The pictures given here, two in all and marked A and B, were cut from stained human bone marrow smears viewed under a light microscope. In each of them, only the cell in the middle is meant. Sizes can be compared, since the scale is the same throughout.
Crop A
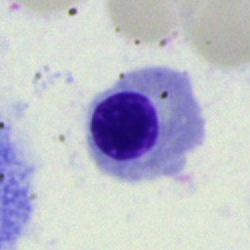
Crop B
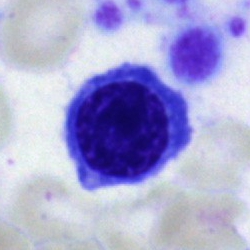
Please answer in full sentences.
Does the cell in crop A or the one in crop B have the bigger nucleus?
Larger is the nucleus in crop B, at roughly 2 times the area of the other.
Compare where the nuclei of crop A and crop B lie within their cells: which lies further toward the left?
It is the nucleus in crop A that lies further toward the left of its cell.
